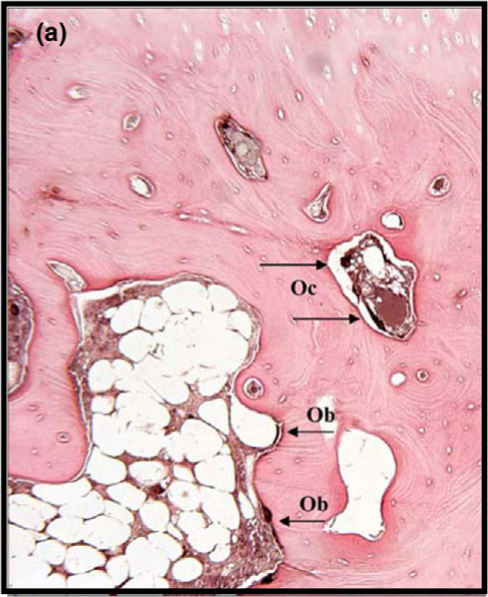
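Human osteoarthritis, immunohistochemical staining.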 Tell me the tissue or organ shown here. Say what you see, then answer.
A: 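Pink lamellar bone matrix with scattered small lacunae fills most of the field. A large marrow space filled with clear round fat vacuoles lies at lower left. Small vascular canals run through the bone. The answer: subchondral bone.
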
